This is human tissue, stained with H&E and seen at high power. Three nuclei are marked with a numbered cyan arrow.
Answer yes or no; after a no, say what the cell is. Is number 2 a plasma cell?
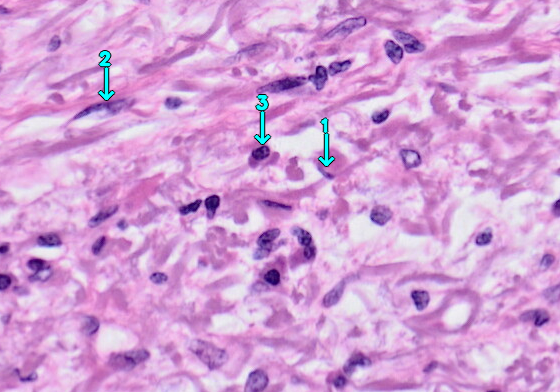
No, it is a fibroblast or myofibroblast.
